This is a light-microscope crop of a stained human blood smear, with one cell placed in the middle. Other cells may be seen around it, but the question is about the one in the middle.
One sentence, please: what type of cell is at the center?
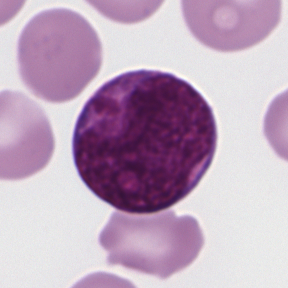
Here the cell in the middle is a myeloblast.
